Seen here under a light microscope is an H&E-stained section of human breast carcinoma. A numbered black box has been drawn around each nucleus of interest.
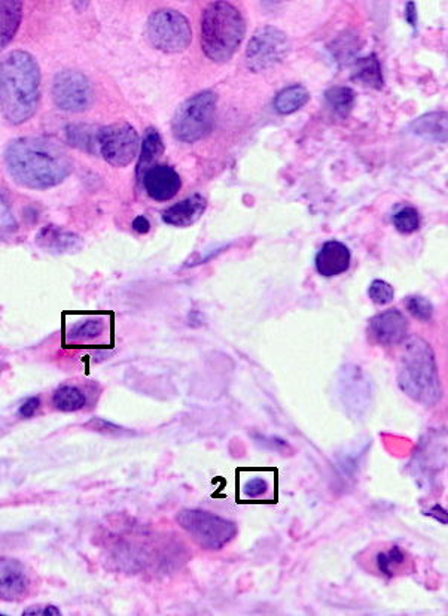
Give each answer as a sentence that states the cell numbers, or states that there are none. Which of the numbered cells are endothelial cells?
It is only cell 1 that is an endothelial cell among the numbered cells.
